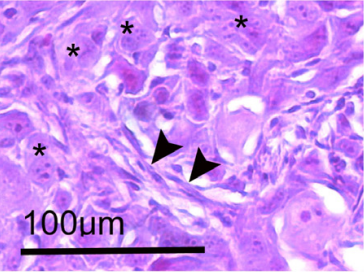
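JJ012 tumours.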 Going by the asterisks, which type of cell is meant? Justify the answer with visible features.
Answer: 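Pleomorphic, ovoid cells. Large rounded to oval cells with abundant pink cytoplasm. Nuclei vary in size and shape between cells.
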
